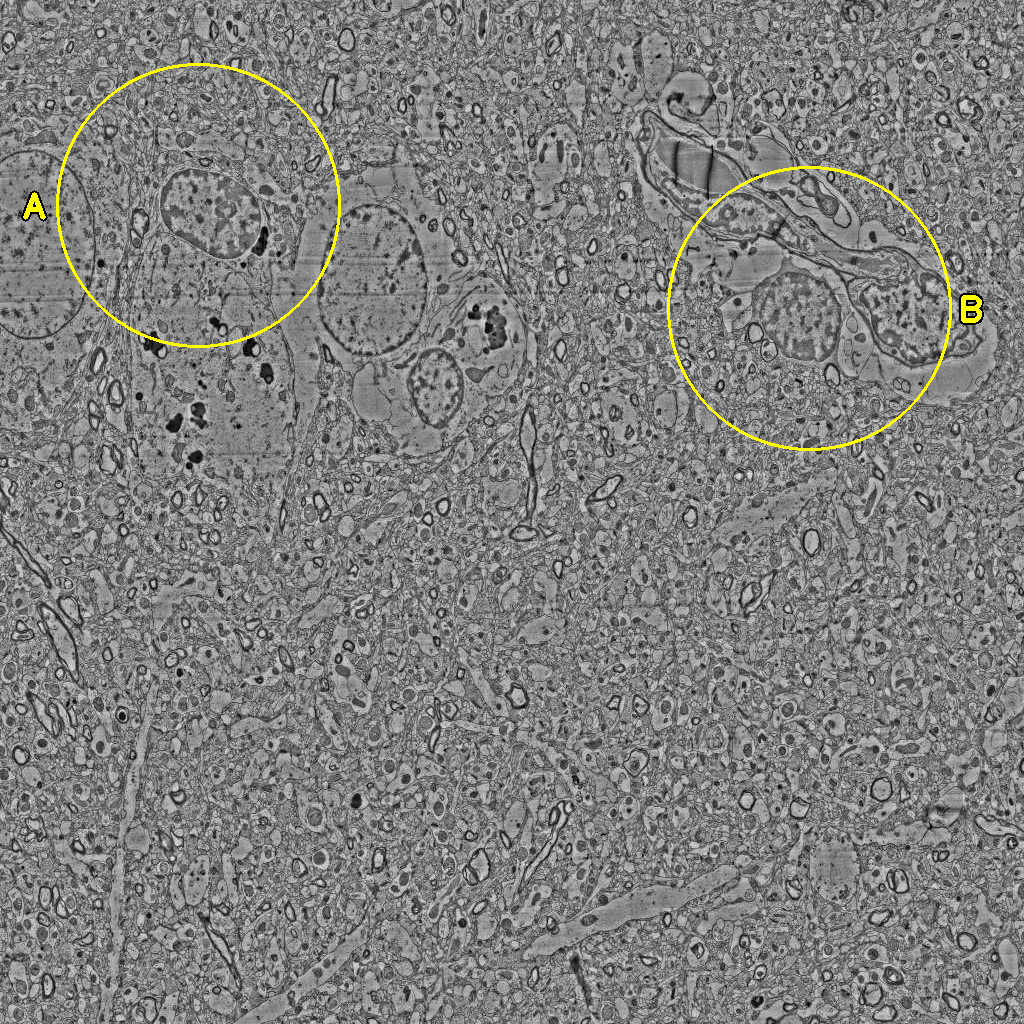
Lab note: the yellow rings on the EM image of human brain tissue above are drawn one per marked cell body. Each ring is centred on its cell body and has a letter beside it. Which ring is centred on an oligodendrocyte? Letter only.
B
